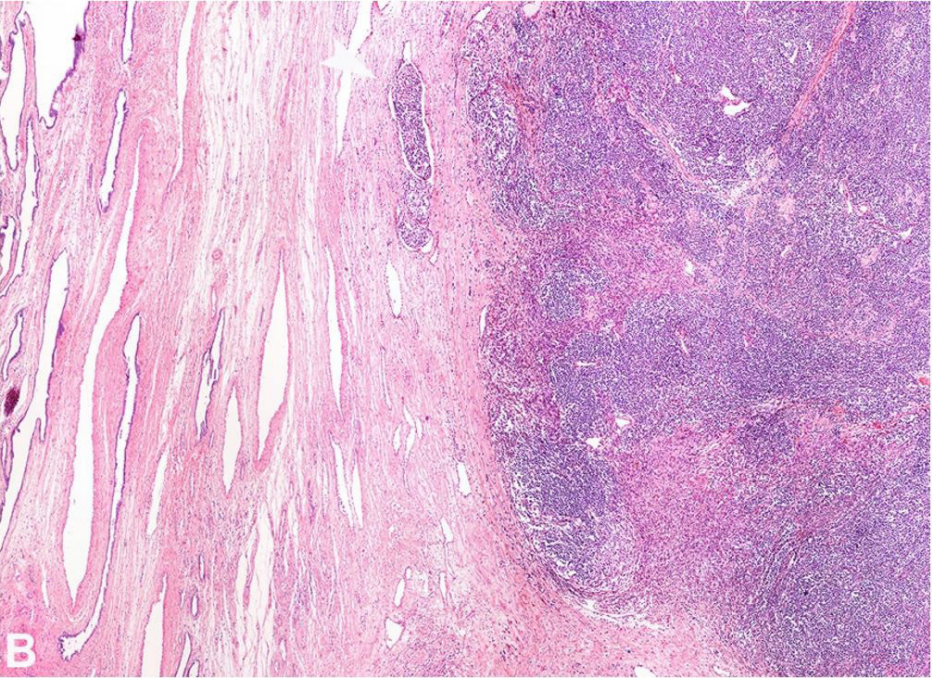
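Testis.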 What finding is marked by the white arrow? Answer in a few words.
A: Vascular invasion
